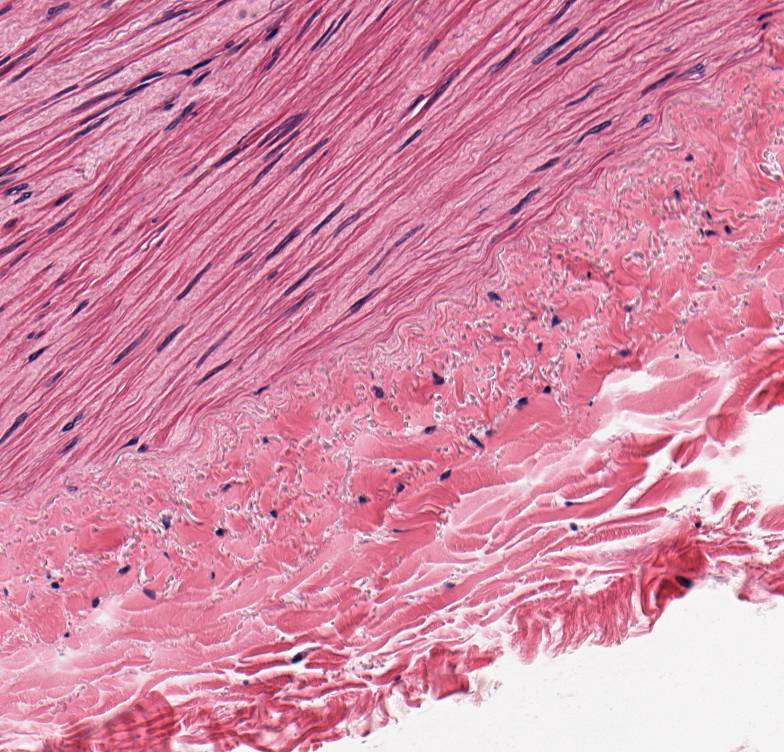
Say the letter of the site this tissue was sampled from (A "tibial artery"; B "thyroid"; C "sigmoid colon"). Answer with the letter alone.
A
